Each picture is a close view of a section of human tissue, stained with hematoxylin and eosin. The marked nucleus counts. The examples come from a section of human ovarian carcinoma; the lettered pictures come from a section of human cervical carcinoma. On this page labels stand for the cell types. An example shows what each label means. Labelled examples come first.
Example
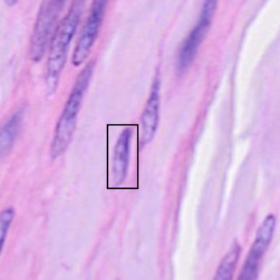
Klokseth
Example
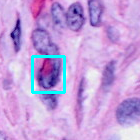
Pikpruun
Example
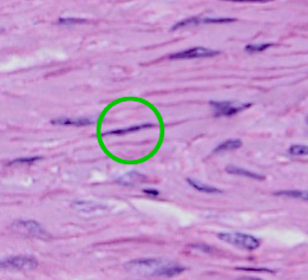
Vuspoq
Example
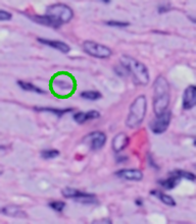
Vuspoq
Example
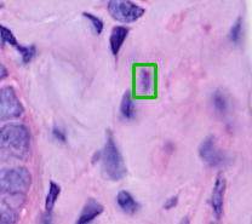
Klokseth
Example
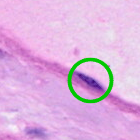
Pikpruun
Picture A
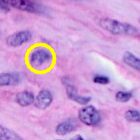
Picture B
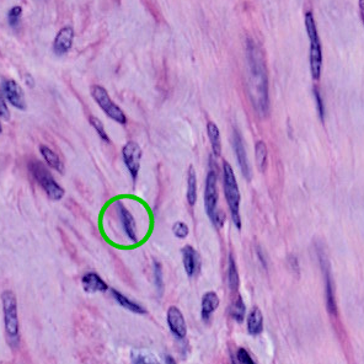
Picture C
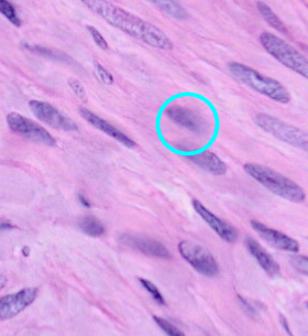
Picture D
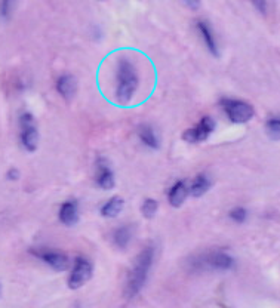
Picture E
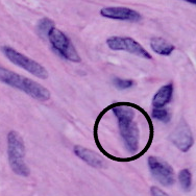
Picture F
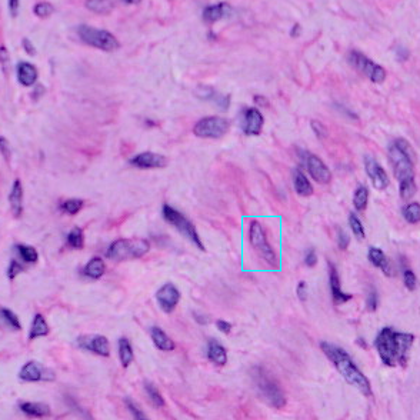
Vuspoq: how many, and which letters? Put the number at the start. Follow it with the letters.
3: C, D, E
